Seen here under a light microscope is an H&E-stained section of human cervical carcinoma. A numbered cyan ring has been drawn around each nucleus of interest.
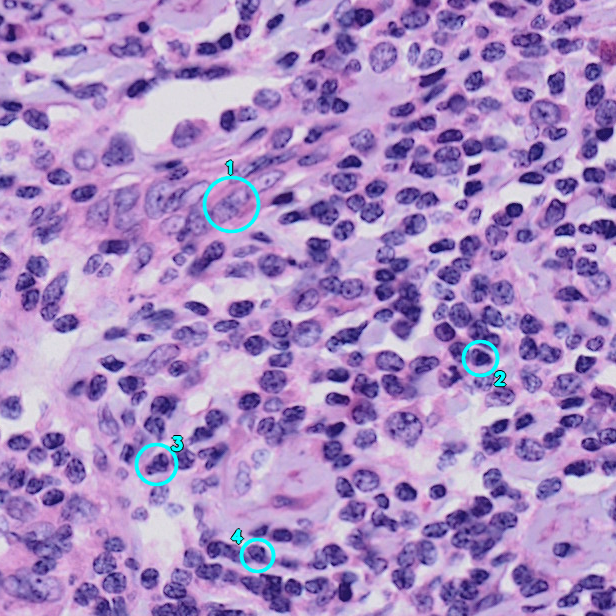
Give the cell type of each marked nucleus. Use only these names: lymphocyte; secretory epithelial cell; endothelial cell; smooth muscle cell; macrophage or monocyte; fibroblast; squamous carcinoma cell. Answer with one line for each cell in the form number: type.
1: endothelial cell
2: lymphocyte
3: lymphocyte
4: lymphocyte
